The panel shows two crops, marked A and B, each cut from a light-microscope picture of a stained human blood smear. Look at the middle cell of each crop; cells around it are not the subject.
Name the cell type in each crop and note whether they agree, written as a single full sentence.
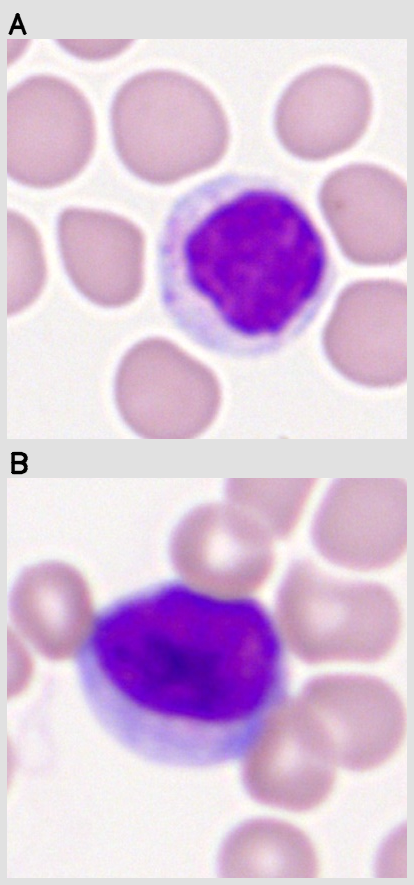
No, crop B centres on a myeloblast, and crop A centres on a lymphocyte.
